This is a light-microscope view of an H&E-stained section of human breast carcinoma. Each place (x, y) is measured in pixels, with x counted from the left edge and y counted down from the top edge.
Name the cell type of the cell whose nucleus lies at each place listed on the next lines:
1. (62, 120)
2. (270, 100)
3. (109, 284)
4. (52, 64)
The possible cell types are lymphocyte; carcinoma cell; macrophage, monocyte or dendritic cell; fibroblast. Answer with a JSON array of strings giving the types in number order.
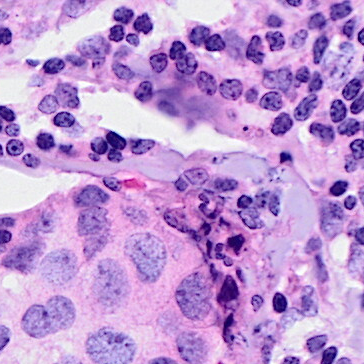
["lymphocyte", "lymphocyte", "carcinoma cell", "lymphocyte"]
